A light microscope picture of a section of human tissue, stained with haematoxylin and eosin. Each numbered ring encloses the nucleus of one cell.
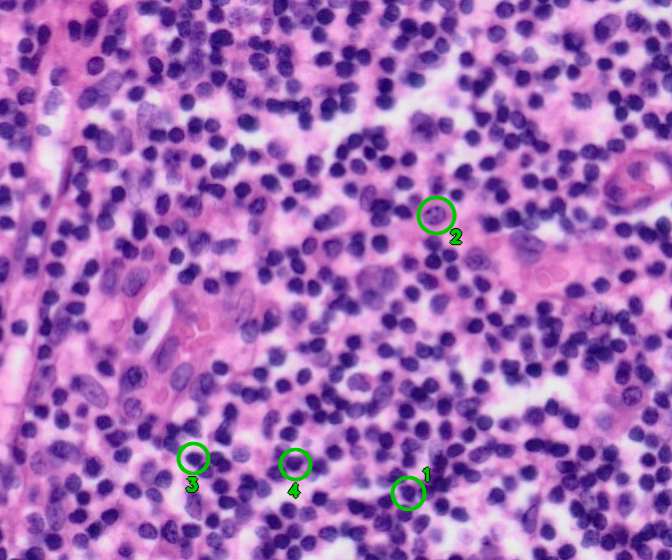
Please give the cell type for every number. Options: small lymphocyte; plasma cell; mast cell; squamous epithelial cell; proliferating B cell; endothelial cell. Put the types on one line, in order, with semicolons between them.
small lymphocyte; plasma cell; small lymphocyte; small lymphocyte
